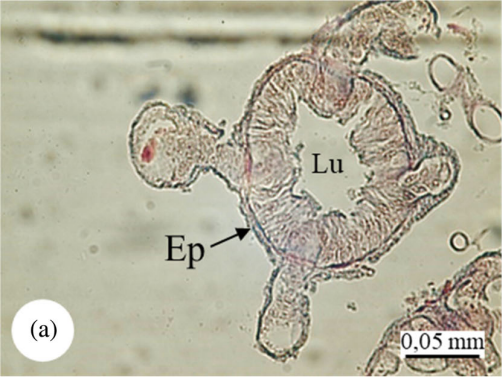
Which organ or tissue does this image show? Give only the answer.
Monolayer cylindrical epithelial.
